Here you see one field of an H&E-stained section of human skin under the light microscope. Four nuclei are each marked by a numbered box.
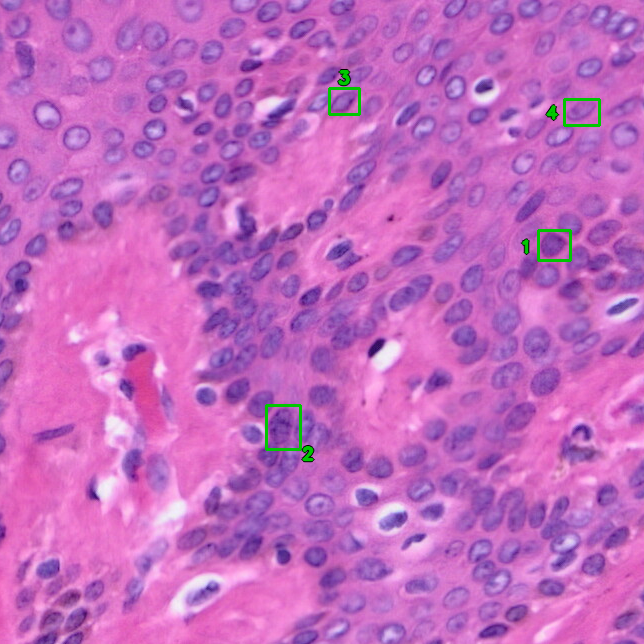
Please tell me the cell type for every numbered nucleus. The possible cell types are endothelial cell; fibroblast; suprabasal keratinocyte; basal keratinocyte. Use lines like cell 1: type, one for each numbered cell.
cell 1: basal keratinocyte
cell 2: basal keratinocyte
cell 3: basal keratinocyte
cell 4: suprabasal keratinocyte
